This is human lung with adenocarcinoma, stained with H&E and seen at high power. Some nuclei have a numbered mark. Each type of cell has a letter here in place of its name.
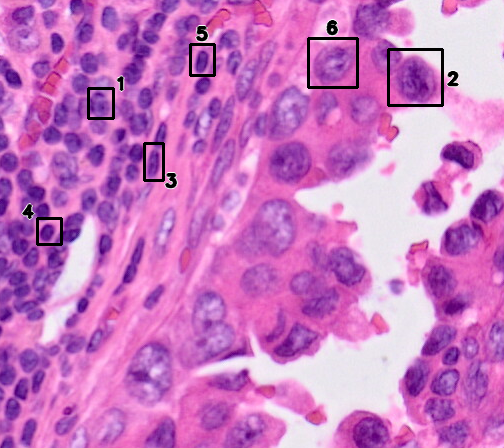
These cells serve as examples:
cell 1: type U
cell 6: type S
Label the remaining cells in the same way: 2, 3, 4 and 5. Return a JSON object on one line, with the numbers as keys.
{"2": "type S", "3": "type U", "4": "type U", "5": "type U"}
